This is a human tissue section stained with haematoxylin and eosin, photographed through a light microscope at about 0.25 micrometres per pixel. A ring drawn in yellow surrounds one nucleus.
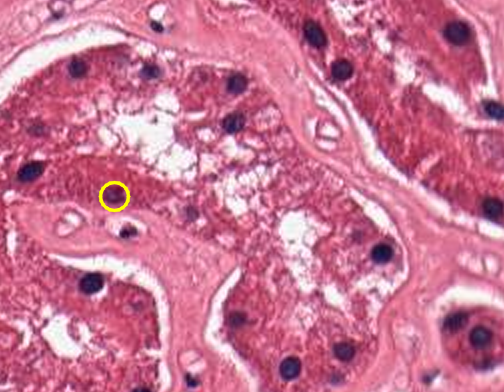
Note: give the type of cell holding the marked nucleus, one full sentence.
It is a proximal tubule cell whose nucleus is marked.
